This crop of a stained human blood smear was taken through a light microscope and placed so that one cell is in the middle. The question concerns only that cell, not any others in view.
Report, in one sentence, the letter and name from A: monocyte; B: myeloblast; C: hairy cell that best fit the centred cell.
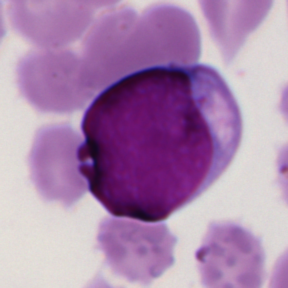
The centrally located cell is a myeloblast, making option B the correct choice.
